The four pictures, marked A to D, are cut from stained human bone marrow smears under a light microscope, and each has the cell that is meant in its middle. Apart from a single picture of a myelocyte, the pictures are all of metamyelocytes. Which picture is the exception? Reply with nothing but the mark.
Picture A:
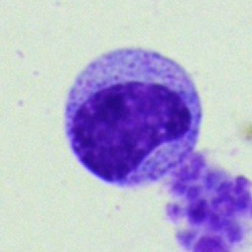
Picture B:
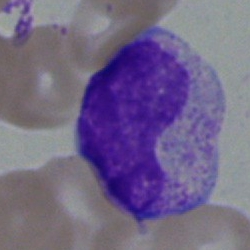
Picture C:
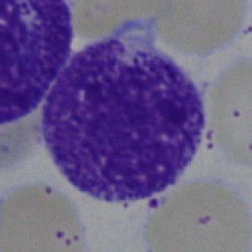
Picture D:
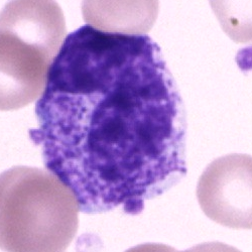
C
